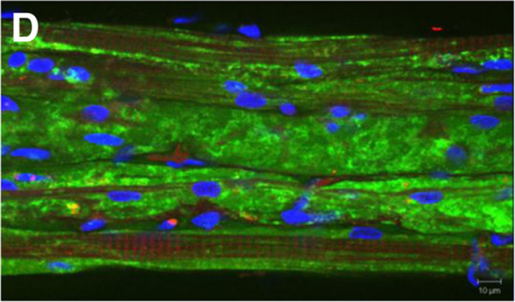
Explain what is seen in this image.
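Longitudinally running skeletal muscle fibres are seen side by side, with many oval blue nuclei scattered along and between them. The uppermost and lowest fibres keep fine, regular transverse red banding, the striations of intact contractile material. The fibres in the middle have lost this regular banding and are instead filled with irregular, bright green, clumped and streaky material, giving a disorganised appearance. Small reddish-orange spots lie here and there among the green. The contrast between the orderly banded fibres and the disrupted central fibres shows damage that spares part of the muscle.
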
